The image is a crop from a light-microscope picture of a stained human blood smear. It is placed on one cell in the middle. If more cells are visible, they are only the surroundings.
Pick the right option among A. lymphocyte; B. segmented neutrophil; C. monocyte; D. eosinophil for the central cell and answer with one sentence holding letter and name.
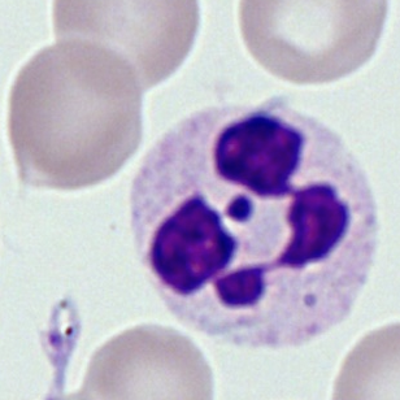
Option B holds up: the cell in the middle is a segmented neutrophil.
